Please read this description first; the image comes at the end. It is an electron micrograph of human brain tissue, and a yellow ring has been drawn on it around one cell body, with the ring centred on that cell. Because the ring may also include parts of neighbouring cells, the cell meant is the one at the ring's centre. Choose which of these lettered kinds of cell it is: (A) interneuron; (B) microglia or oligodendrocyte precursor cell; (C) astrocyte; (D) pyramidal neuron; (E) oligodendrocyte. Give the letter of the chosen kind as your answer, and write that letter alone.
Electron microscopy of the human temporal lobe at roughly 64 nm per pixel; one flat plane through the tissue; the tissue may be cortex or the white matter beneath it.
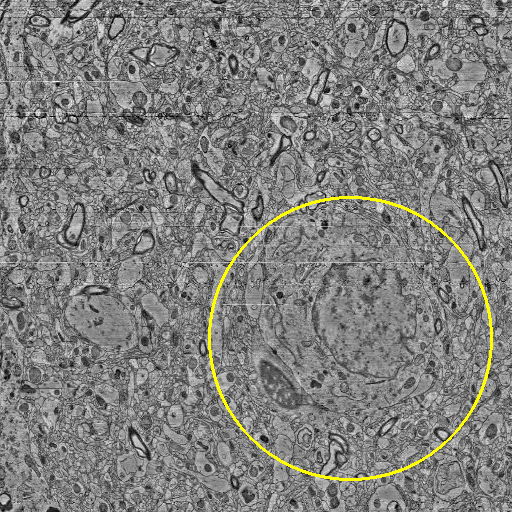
A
